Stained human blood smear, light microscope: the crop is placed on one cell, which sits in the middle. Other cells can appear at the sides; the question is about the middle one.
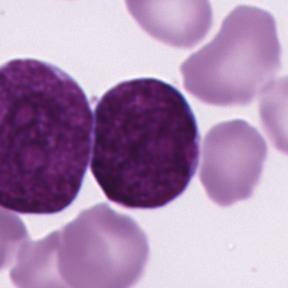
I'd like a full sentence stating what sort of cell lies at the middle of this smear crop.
In this crop, the cell at the very middle is a blast.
